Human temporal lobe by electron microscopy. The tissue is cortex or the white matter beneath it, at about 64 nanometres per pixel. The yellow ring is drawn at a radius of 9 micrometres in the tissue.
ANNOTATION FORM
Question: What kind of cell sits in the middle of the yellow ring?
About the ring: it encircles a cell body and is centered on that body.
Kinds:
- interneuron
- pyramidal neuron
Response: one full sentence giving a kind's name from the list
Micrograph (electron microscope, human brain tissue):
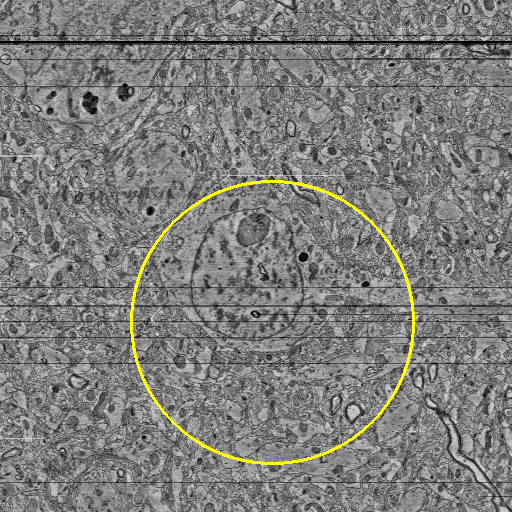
The kind of cell found at the center of the yellow ring in the micrograph is a pyramidal neuron.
